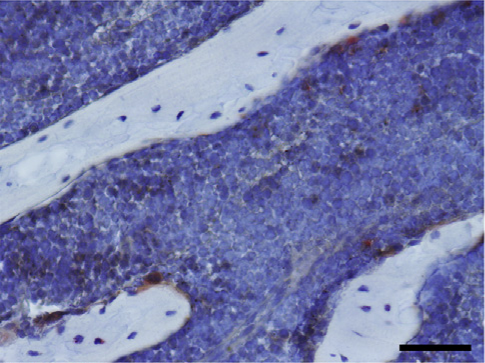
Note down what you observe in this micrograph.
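Cancellous bone with broad, elongated trabeculae crossing the field diagonally, separated by densely cellular marrow. The marrow is a dense sheet of small round cells with blue nuclei, with a few scattered brownish-red cells. Only small, sparse red-stained patches lie on the bone surfaces, mainly along the lower edge of the upper trabecula and the left trabecula at the bottom.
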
